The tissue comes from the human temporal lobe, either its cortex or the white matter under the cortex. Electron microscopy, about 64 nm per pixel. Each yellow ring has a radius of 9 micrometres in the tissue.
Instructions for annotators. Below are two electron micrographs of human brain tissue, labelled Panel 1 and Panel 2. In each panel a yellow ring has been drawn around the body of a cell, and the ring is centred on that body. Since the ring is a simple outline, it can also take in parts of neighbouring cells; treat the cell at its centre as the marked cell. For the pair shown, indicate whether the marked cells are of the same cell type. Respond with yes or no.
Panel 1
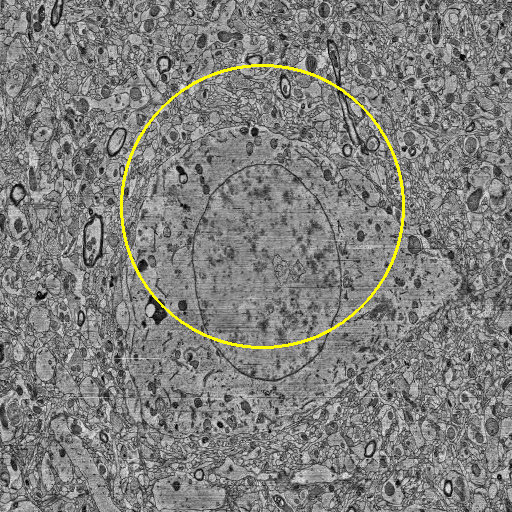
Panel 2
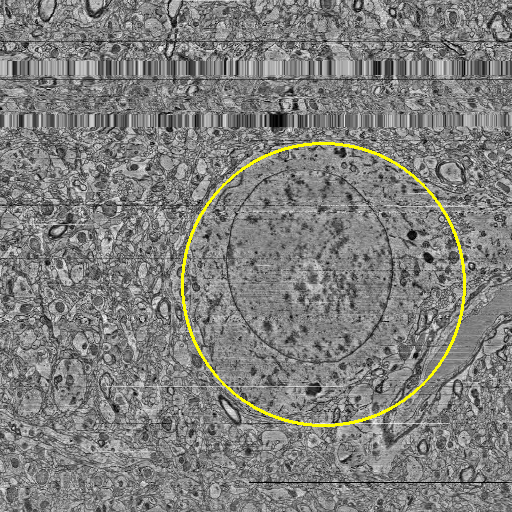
yes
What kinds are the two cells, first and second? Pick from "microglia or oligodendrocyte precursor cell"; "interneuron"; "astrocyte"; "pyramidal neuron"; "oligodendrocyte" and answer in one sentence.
Both cells are the same kind, each one being a pyramidal neuron.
